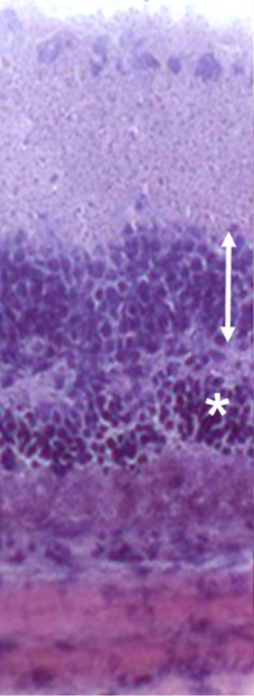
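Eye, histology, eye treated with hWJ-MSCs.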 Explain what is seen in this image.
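This section of retina is stained in shades of violet, with the inner surface at the top. A few large scattered nuclei sit at the top above a wide pale, finely granular band nearly free of nuclei. Below it lies a dense band of oval purple nuclei, and beneath that another band of smaller, darker nuclei, less tightly packed than in a healthy retina. The two nuclear bands are the inner and outer nuclear layers, the outer one still present though thinned.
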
